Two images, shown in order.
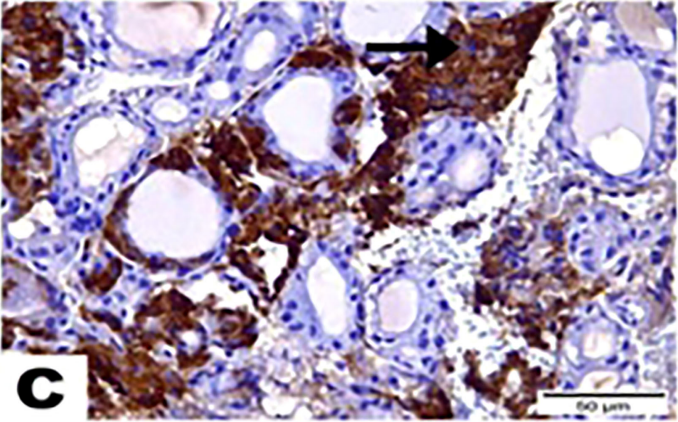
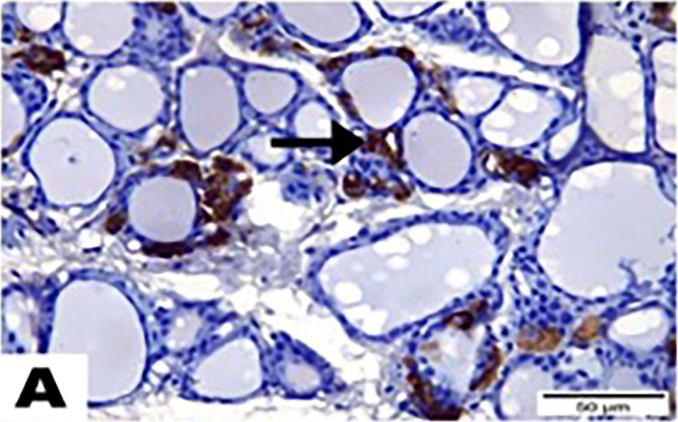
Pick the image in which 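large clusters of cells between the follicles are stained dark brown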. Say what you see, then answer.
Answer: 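First image: broad, dense brown-stained cell masses fill much of the space between follicles. Second image: only a few small brown-stained cell groups lie between the follicles. On this evidence: the first image.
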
